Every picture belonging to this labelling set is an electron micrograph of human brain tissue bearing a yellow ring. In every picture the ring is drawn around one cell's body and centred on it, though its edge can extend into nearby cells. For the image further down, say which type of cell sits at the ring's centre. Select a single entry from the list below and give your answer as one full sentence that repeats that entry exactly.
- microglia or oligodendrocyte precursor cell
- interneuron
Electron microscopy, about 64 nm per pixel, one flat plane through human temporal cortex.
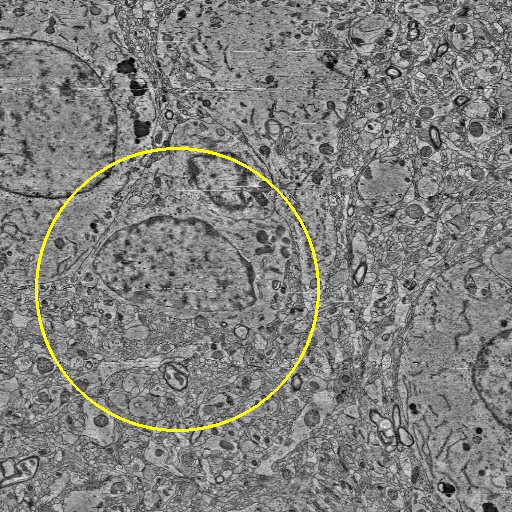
In the picture, a microglial cell or oligodendrocyte precursor cell is the cell at the centre of the yellow ring.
